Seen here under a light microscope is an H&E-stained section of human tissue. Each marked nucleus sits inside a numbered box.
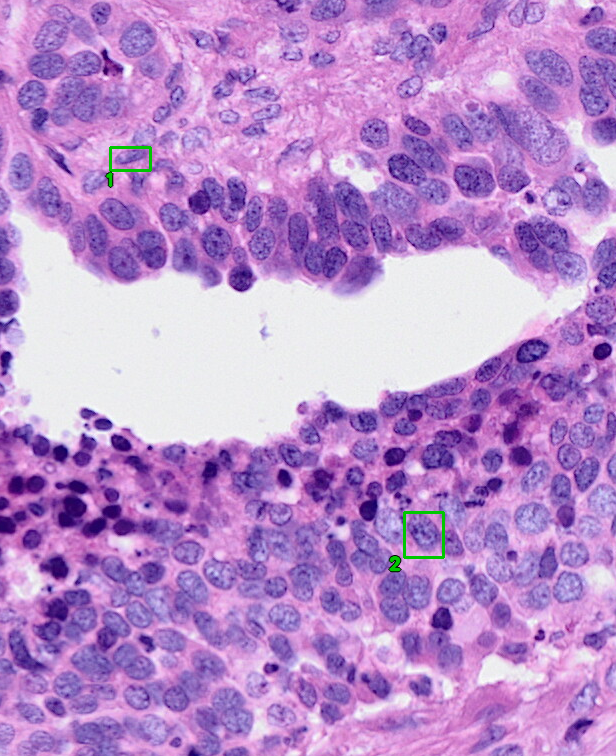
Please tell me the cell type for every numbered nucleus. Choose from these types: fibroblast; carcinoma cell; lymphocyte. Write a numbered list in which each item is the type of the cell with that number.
1. fibroblast
2. carcinoma cell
